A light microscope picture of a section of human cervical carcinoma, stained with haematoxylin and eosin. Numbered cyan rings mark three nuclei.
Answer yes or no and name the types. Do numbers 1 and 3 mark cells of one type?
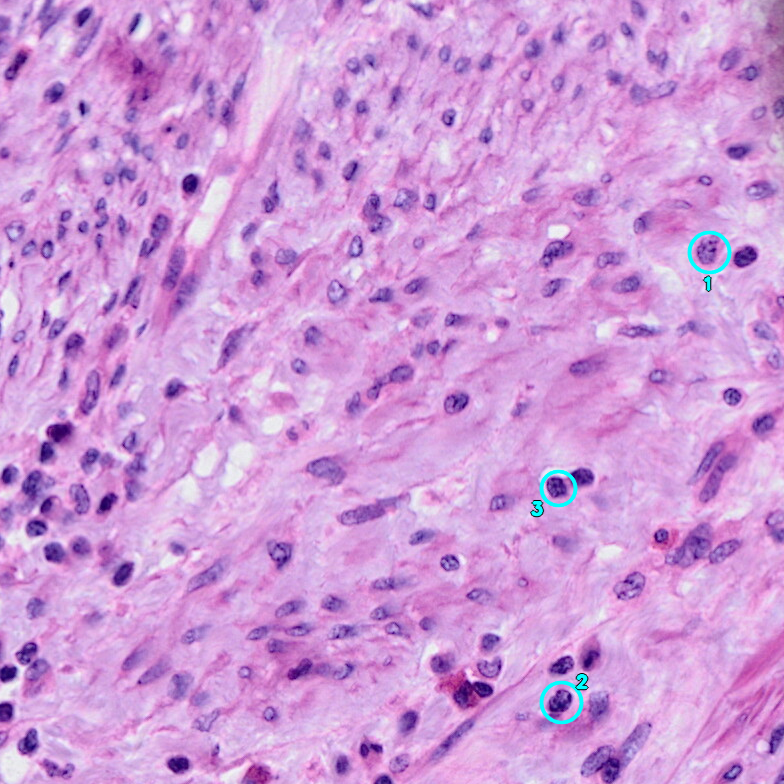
No, cell 1 is a macrophage or monocyte and cell 3 is a lymphocyte.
